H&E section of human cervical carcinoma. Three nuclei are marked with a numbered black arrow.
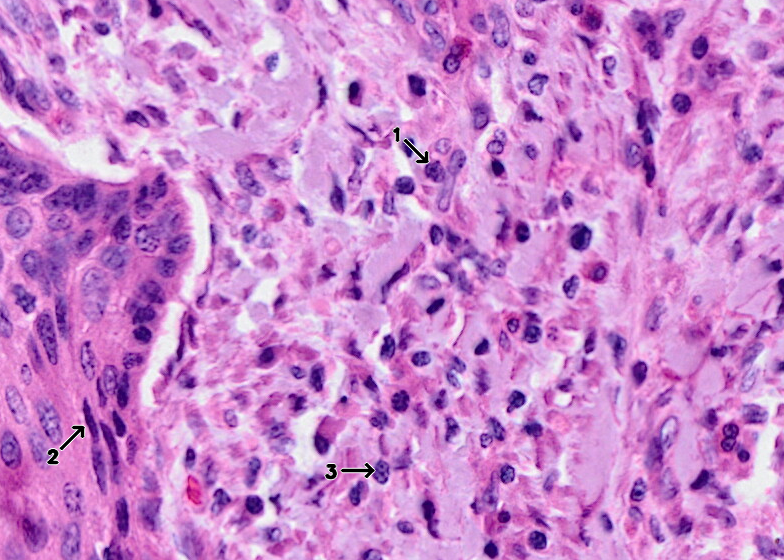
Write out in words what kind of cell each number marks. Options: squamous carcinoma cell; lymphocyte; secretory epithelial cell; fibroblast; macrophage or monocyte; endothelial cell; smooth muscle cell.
Cell 1 is a lymphocyte, cell 2 is a squamous carcinoma cell and cell 3 is a lymphocyte.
